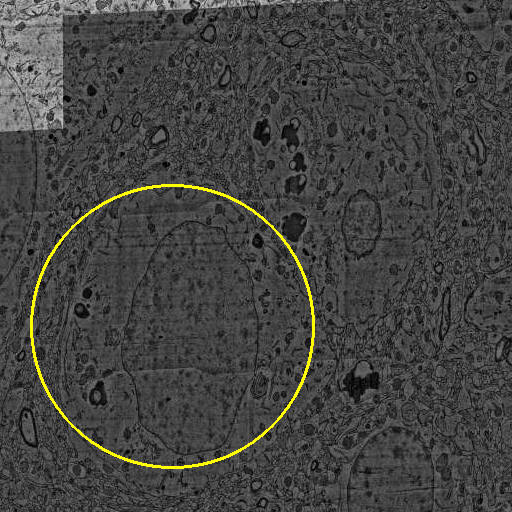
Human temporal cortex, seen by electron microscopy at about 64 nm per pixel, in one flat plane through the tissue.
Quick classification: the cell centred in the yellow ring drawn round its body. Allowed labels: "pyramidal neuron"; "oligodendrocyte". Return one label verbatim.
pyramidal neuron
